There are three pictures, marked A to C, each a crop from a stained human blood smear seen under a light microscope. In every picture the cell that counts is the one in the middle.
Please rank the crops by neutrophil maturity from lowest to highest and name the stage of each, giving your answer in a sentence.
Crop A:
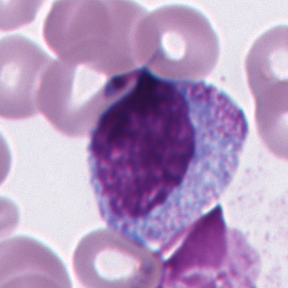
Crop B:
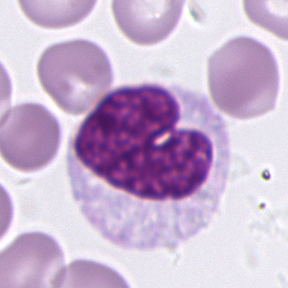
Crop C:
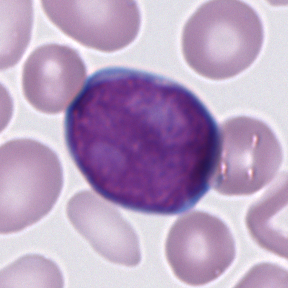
The crops, when placed from least to most mature, read crop C (a myeloblast), crop A (a promyelocyte) and crop B (a band neutrophil).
